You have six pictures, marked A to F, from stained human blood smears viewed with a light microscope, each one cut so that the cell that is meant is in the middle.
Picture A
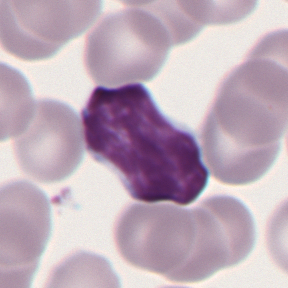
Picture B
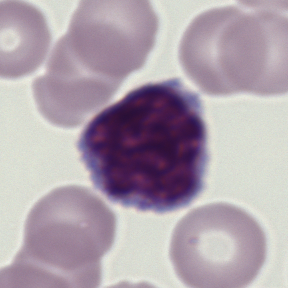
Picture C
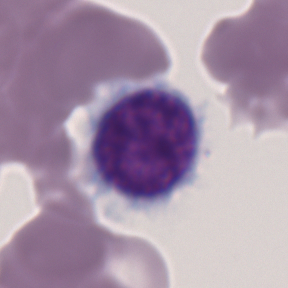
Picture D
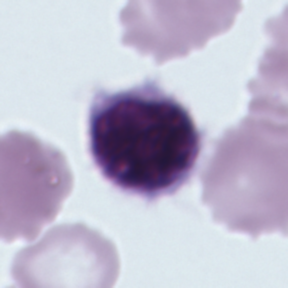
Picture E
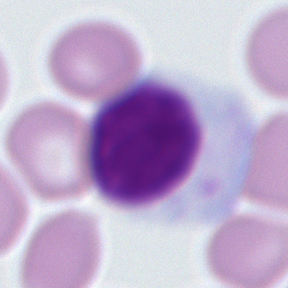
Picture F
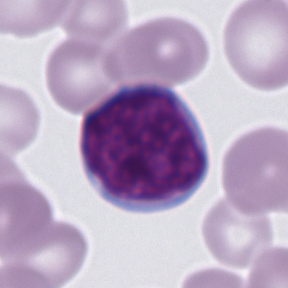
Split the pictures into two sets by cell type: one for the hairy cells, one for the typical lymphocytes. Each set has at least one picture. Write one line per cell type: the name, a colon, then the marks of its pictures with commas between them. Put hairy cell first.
hairy cell: C, D
typical lymphocyte: A, B, E, F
